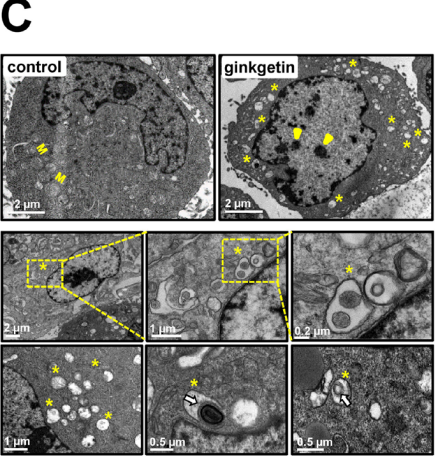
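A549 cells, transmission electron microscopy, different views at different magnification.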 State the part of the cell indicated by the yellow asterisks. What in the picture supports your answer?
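Autophagical vacuoles. The asterisks lie on round membrane-bound vacuoles in the cytoplasm. Several of these vacuoles hold membranous or dense material. Enlarged views show vacuoles bounded by more than one membrane.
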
